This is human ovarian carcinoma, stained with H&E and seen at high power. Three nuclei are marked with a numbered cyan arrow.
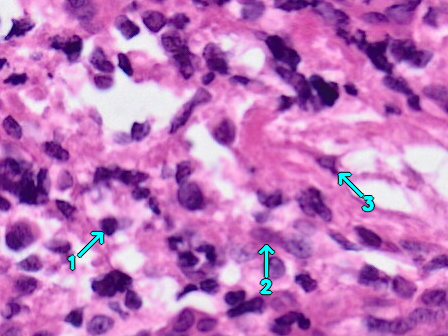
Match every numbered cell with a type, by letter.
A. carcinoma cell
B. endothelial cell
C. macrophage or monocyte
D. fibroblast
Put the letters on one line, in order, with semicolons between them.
A; A; D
